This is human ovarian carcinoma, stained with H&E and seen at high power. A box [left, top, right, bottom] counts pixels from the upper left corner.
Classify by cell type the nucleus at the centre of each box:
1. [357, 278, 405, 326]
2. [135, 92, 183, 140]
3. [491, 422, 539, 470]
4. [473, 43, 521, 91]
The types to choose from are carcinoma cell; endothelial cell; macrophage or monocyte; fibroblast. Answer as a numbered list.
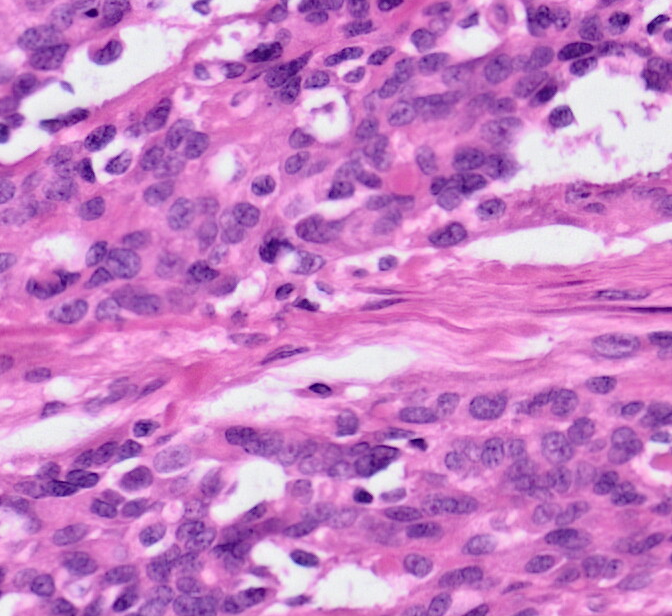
1. fibroblast
2. carcinoma cell
3. carcinoma cell
4. carcinoma cell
